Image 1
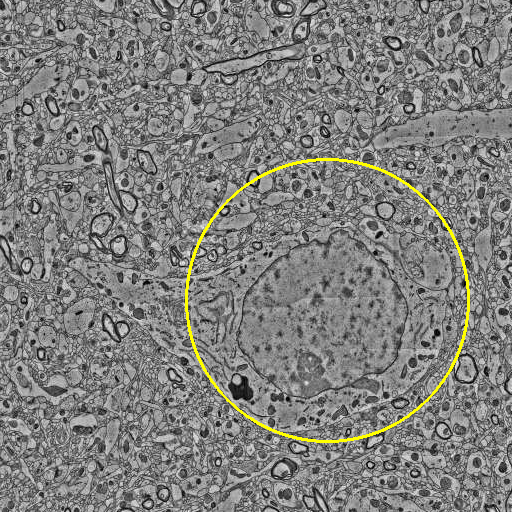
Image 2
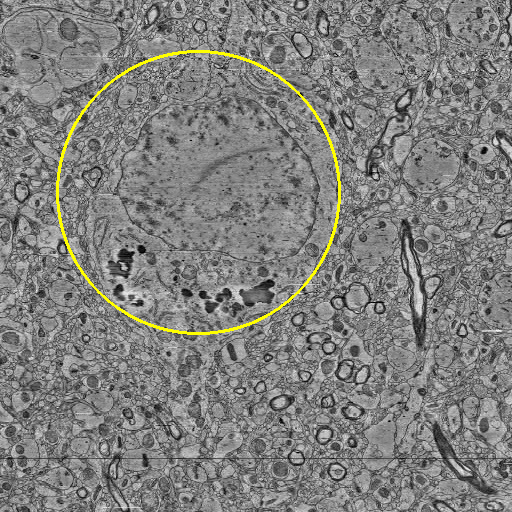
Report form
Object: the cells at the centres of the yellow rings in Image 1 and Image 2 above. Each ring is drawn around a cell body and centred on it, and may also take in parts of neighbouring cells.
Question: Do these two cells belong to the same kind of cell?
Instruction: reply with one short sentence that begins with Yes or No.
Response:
Yes, both belong to the same kind of cell.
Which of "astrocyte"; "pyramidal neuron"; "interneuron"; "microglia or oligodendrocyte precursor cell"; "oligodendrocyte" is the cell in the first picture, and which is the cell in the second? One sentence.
Each of the ringed cells, first and second, is an interneuron.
